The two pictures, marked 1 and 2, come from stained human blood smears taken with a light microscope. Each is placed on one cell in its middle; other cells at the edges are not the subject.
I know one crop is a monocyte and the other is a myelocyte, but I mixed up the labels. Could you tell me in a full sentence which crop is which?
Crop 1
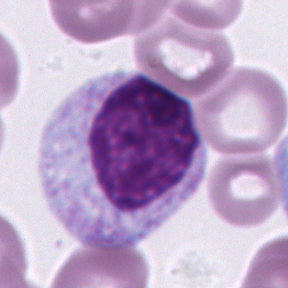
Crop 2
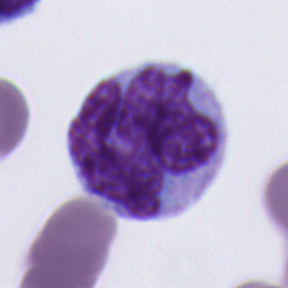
In crop 1 the cell is a myelocyte, while in crop 2 it is a monocyte.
